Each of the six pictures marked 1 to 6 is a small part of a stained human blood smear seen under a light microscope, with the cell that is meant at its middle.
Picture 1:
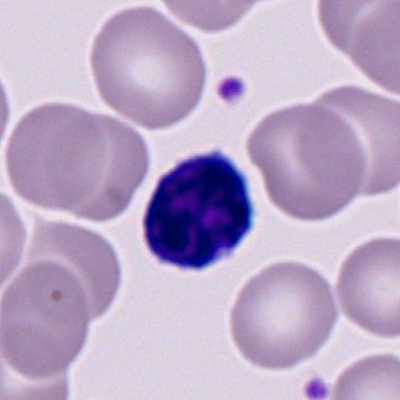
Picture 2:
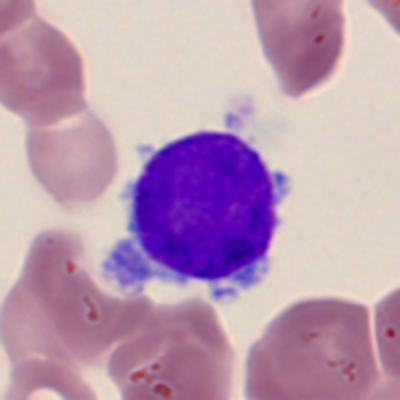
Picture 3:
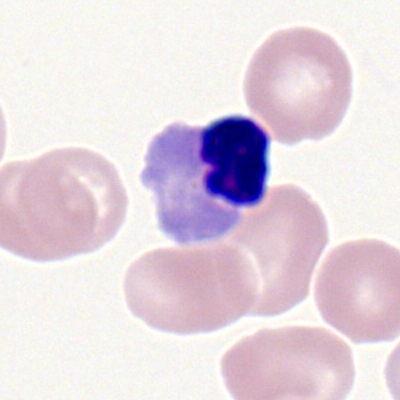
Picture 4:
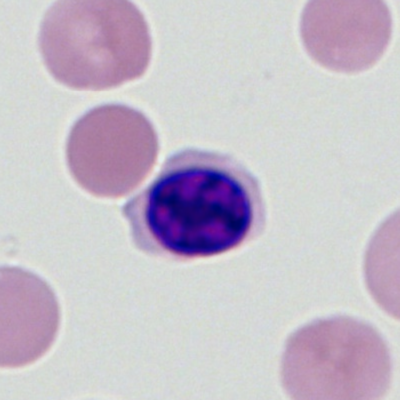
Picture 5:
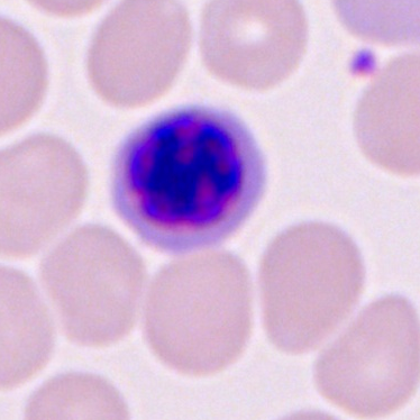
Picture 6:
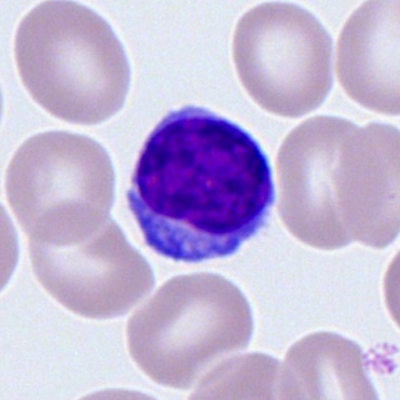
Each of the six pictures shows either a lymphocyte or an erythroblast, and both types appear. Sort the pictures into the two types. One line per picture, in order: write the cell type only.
lymphocyte
lymphocyte
erythroblast
erythroblast
erythroblast
lymphocyte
